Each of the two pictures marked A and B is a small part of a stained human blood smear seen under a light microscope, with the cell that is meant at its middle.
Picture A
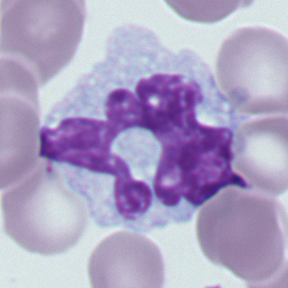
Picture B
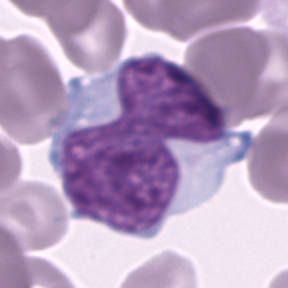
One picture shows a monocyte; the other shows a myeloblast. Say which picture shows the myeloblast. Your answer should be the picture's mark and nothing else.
B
